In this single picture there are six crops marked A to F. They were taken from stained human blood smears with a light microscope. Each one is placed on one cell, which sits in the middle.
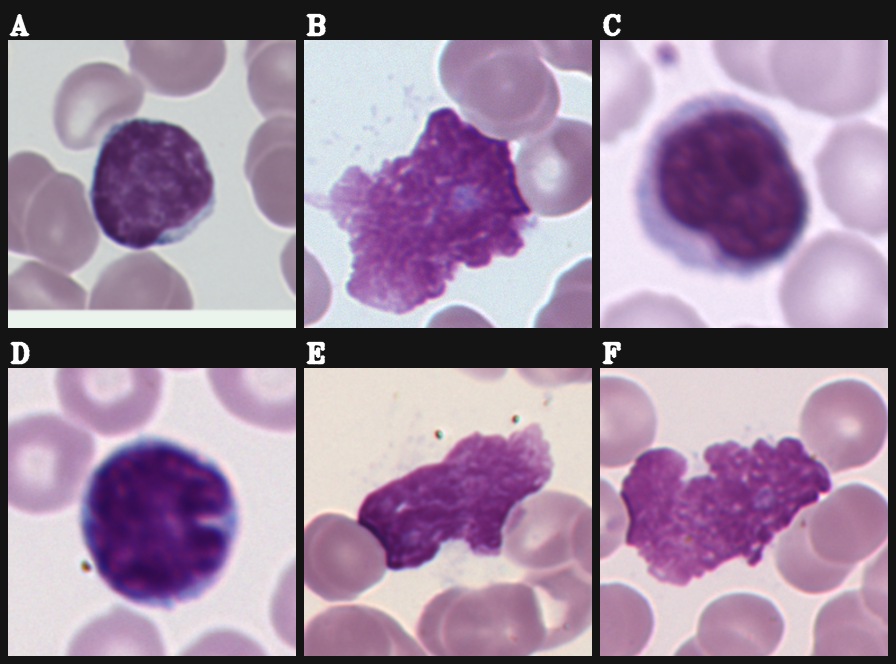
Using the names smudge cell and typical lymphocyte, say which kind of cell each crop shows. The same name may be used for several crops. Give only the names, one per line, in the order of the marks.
typical lymphocyte
smudge cell
typical lymphocyte
typical lymphocyte
smudge cell
smudge cell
